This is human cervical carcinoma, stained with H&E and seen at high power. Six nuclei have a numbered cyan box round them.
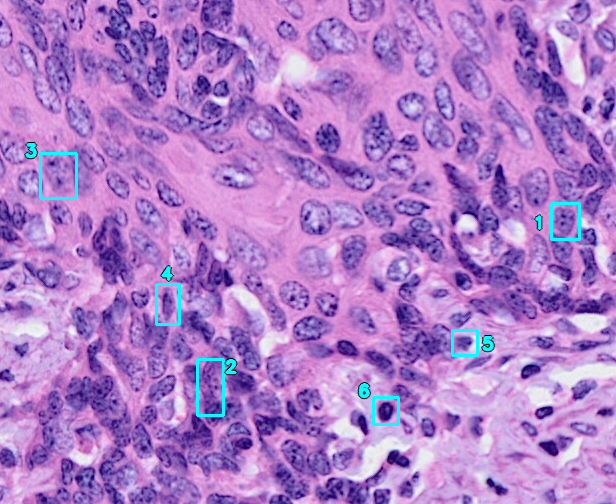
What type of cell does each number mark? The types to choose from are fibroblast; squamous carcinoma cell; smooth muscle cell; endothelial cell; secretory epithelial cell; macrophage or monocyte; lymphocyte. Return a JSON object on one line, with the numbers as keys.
{"1": "squamous carcinoma cell", "2": "squamous carcinoma cell", "3": "squamous carcinoma cell", "4": "squamous carcinoma cell", "5": "lymphocyte", "6": "lymphocyte"}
